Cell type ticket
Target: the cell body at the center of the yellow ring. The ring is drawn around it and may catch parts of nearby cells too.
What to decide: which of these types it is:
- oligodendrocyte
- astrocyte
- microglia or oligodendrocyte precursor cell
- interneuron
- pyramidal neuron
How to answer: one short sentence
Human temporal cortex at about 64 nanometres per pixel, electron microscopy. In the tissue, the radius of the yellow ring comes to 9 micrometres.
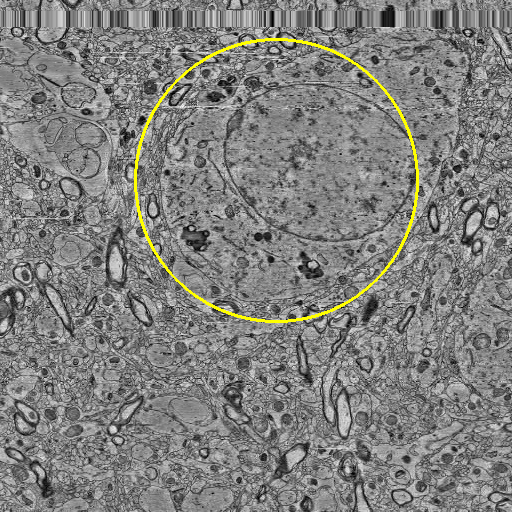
The cell at the center of the ring is a pyramidal neuron.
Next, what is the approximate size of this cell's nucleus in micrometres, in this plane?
Roughly 12 by 10 micrometres in this plane, for the nucleus of the ringed cell.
